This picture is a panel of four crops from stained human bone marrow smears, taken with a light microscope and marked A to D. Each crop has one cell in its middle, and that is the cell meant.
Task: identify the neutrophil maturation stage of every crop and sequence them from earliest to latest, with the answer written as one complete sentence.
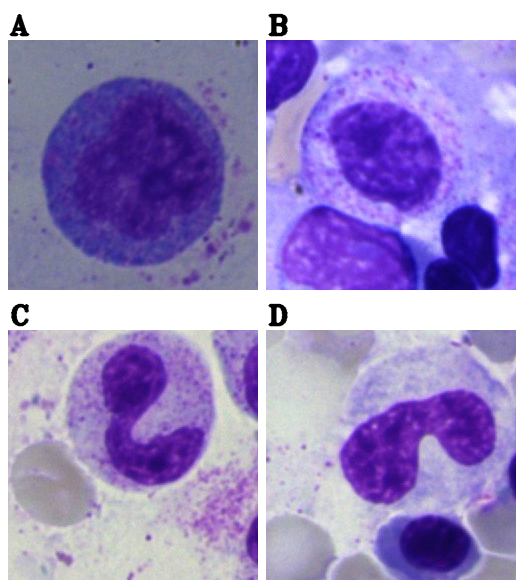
From earliest to most mature stage, the crops go crop A (a promyelocyte), crop B (a myelocyte), crop D (a band neutrophil) and crop C (a segmented neutrophil).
